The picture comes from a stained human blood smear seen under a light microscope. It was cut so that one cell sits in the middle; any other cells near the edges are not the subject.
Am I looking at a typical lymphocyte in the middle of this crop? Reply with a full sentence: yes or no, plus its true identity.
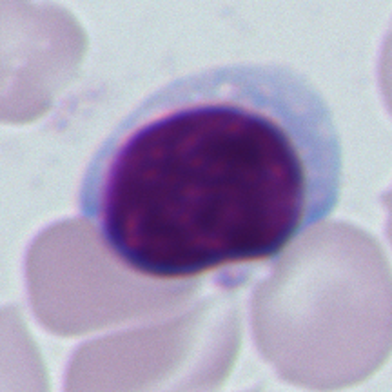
Yes, the crop's central cell is a typical lymphocyte.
